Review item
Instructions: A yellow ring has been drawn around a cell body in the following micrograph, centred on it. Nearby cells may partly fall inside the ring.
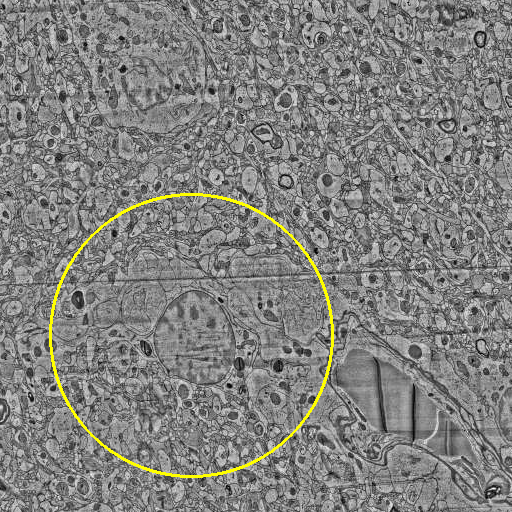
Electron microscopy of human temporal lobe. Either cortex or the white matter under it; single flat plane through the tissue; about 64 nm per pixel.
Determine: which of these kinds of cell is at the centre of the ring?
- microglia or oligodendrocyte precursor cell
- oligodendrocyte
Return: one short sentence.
The cell body in the middle of the ring is that of a microglial cell or oligodendrocyte precursor cell.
